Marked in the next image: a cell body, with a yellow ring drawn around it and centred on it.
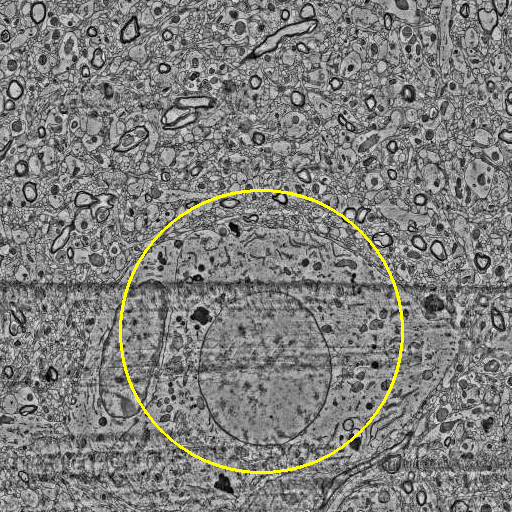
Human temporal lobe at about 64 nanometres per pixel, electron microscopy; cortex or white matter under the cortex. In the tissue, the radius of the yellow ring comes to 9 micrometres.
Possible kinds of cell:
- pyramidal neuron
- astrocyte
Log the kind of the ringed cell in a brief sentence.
The ringed cell body is that of a pyramidal neuron.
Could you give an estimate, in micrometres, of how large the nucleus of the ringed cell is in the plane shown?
About 10 by 9 micrometers for the nucleus, in this plane.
